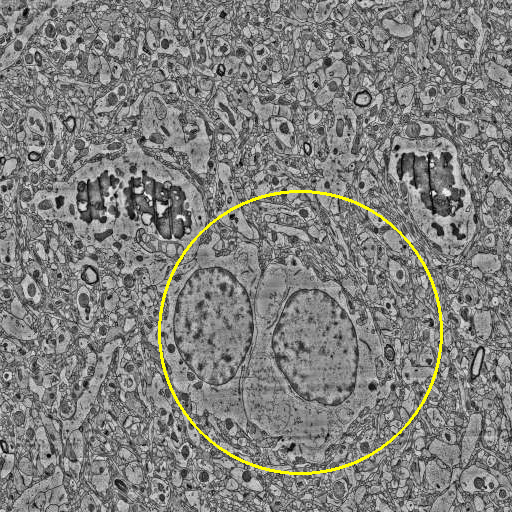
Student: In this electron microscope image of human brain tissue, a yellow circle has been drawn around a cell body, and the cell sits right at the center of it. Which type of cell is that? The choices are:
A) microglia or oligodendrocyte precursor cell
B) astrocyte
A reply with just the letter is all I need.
B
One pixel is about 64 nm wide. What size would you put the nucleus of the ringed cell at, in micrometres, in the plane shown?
The ringed cell's nucleus is about 8 micrometres long and 5 micrometres wide in this plane.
